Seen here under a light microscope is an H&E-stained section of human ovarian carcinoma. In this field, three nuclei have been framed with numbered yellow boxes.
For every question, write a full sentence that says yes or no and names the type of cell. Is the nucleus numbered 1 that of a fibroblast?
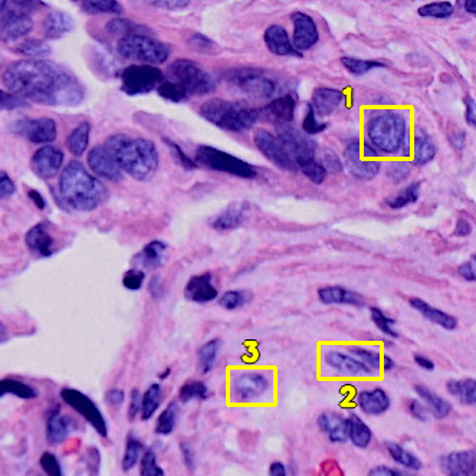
No, sorry, the cell labelled 1 is not a fibroblast; it is a carcinoma cell.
